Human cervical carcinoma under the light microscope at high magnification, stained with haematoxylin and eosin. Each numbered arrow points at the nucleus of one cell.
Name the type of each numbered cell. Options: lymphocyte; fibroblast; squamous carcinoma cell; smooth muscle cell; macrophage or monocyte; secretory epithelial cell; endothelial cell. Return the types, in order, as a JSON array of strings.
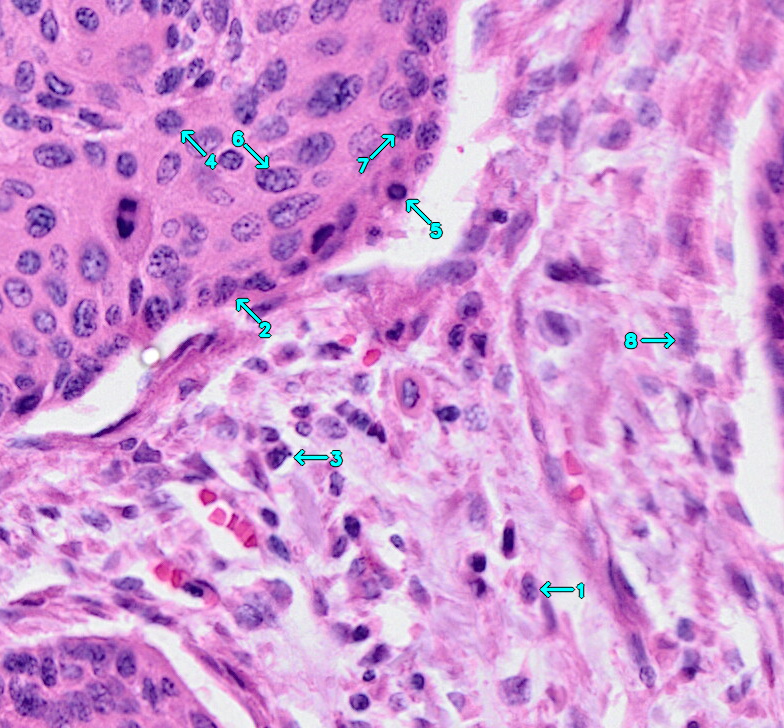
["macrophage or monocyte", "squamous carcinoma cell", "lymphocyte", "squamous carcinoma cell", "squamous carcinoma cell", "squamous carcinoma cell", "squamous carcinoma cell", "fibroblast"]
